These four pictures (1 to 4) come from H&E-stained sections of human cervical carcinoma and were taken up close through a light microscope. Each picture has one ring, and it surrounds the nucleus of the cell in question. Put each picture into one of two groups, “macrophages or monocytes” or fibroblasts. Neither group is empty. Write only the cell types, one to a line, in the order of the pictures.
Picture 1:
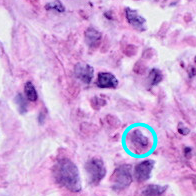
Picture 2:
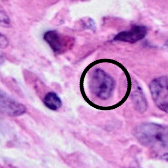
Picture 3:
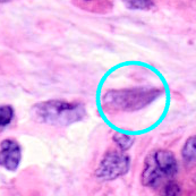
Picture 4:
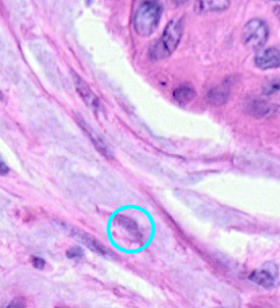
fibroblast
macrophage or monocyte
fibroblast
fibroblast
